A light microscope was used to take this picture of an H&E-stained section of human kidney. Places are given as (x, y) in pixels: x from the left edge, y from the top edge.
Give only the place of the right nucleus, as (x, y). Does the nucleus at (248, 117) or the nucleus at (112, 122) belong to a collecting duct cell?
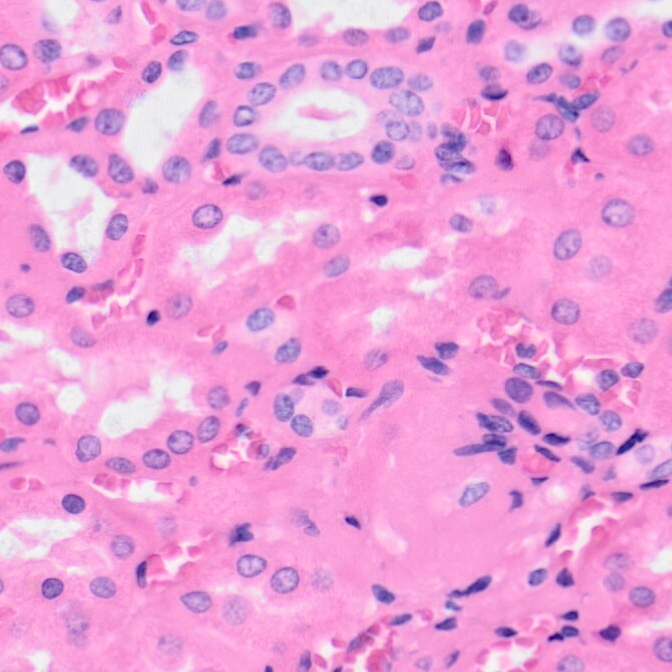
(248, 117)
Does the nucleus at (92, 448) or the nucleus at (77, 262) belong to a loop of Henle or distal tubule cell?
(77, 262)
